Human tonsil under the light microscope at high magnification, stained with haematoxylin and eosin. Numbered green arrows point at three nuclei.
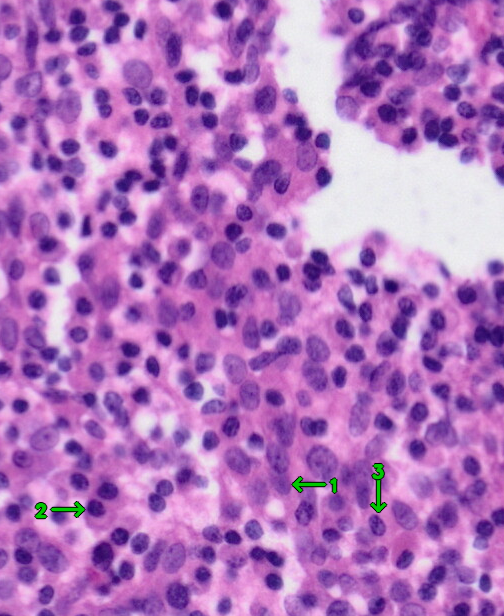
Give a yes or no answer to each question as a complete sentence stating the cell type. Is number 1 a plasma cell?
No, the cell identified by number 1 is a squamous epithelial cell, not a plasma cell.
